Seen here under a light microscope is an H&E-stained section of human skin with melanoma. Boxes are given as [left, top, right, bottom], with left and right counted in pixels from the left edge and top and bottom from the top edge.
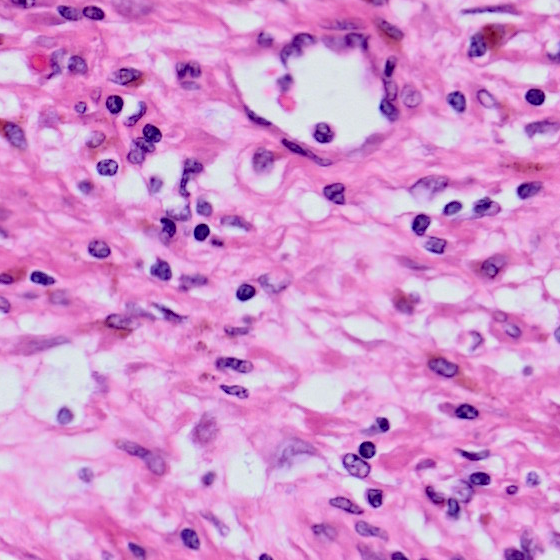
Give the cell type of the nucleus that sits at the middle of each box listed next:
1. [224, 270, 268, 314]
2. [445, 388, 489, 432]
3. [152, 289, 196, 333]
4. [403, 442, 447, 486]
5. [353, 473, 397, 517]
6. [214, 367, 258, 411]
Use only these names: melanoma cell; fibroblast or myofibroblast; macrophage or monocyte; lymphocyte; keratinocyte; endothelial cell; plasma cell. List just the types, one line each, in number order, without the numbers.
lymphocyte
plasma cell
fibroblast or myofibroblast
fibroblast or myofibroblast
lymphocyte
lymphocyte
